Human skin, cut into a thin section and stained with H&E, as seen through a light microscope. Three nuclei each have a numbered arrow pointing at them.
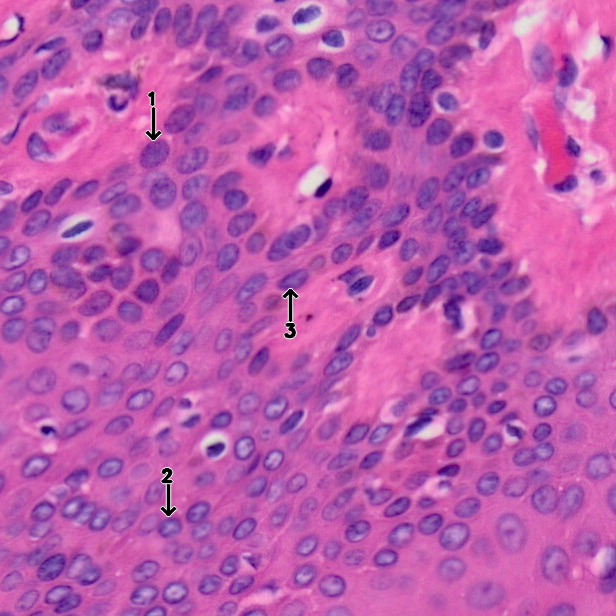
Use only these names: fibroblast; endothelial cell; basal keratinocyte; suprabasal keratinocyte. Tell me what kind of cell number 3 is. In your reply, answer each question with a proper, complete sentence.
Numbered cell 3 is a basal keratinocyte in this tissue section.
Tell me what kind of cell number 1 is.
The numbered cell 1 in this field is a basal keratinocyte.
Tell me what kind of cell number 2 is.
It is as a suprabasal keratinocyte that the cell numbered 2 is identified.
